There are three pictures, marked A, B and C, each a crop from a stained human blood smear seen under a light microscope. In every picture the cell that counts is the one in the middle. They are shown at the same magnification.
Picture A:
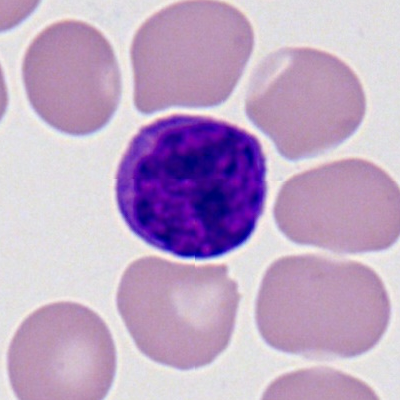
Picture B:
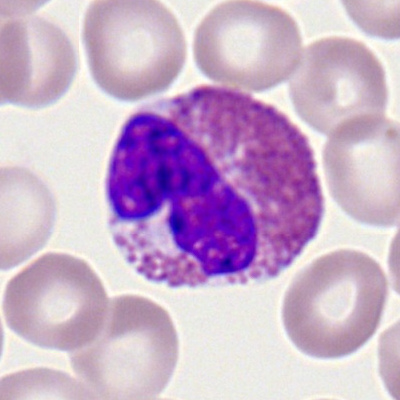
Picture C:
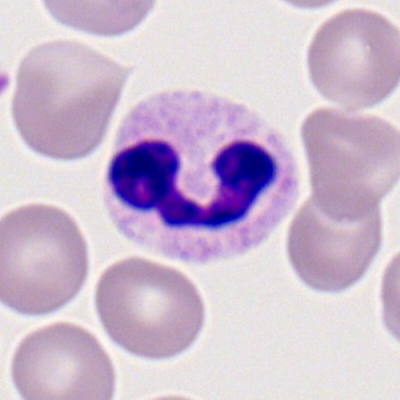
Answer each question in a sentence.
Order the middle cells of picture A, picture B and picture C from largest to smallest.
Going down, they run B, C, A.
